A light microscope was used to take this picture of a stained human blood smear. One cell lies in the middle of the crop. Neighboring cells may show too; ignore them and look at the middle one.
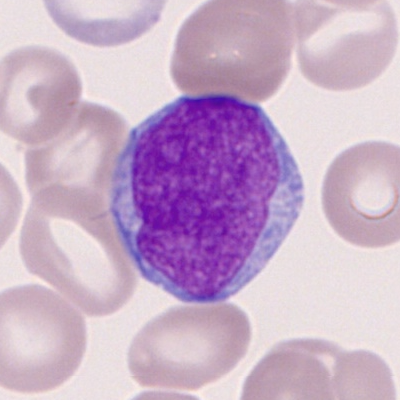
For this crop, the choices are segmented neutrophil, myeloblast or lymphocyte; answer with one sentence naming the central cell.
Whatever else lies nearby, the middle cell is a myeloblast.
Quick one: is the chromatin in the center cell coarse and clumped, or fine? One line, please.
The chromatin is fine; coarse clumps are not a feature here.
